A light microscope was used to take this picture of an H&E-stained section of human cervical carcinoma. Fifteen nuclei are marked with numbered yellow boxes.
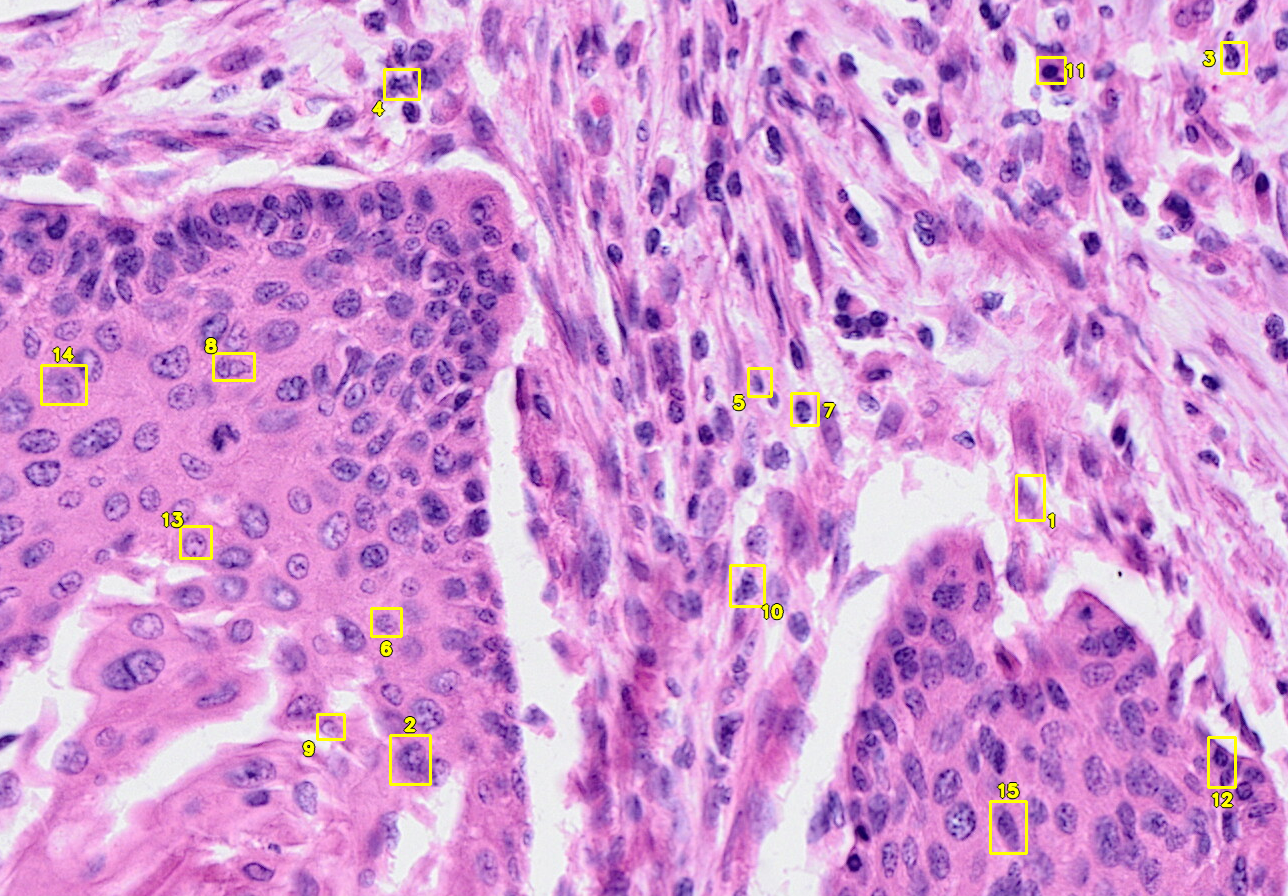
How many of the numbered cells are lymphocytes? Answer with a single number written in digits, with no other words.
6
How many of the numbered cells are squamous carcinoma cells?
8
